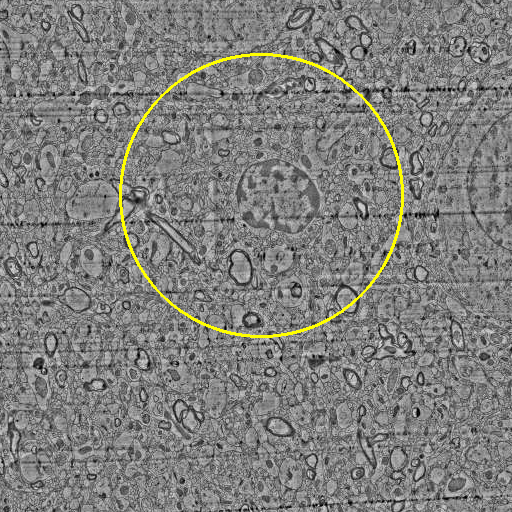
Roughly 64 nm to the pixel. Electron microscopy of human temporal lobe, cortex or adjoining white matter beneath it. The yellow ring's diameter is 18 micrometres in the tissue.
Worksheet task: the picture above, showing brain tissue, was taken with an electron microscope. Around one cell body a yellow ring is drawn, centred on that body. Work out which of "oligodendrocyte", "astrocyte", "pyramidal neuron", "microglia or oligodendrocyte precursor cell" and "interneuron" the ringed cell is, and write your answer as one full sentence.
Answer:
It is a microglial cell or oligodendrocyte precursor cell whose cell body lies at the centre of the yellow ring.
